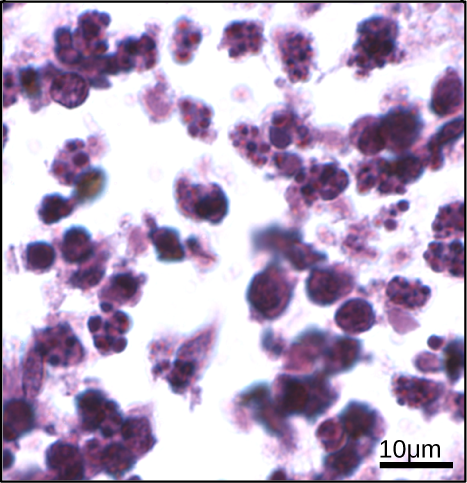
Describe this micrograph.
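The cells are small and rounded, and no tissue architecture is left. Nuclei stain dark purple. Some nuclei are compact and round. Others appear clumped or segmented into several lobes. The cytoplasm is scant and pale pink to violet. Between the cells lie pale pink, granular debris and clear empty spaces. A few cells contain small brownish inclusions. The cells are scattered or form small clusters and are not arranged in layers.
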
